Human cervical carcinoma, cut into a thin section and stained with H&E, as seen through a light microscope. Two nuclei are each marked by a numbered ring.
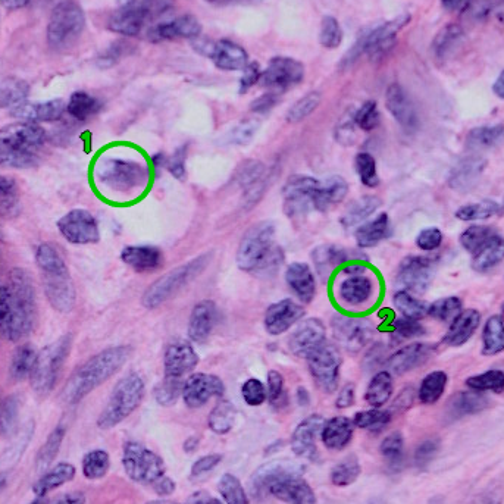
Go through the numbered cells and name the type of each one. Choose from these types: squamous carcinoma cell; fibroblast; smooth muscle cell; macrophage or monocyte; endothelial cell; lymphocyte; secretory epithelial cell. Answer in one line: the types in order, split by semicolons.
macrophage or monocyte; lymphocyte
